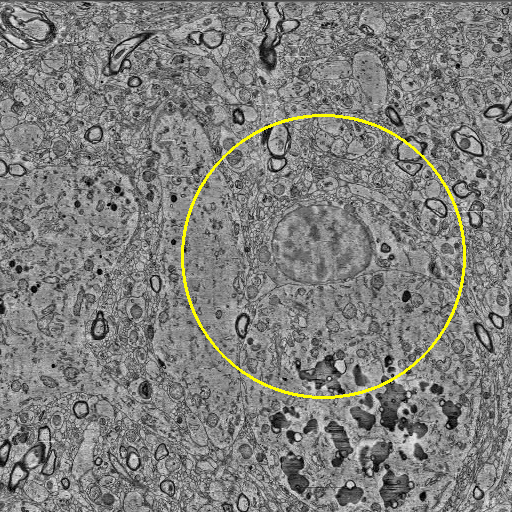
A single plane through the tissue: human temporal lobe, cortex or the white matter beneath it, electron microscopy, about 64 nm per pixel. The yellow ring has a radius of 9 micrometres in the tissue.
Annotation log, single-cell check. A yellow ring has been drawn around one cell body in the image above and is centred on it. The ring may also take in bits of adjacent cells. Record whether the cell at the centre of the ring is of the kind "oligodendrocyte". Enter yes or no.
yes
